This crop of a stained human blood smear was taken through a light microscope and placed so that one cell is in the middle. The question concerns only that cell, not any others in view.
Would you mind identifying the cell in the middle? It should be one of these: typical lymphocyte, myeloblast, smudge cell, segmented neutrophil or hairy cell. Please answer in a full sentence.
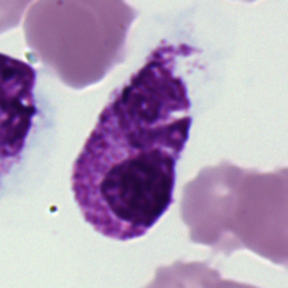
Standing at the centre of this crop is a segmented neutrophil.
